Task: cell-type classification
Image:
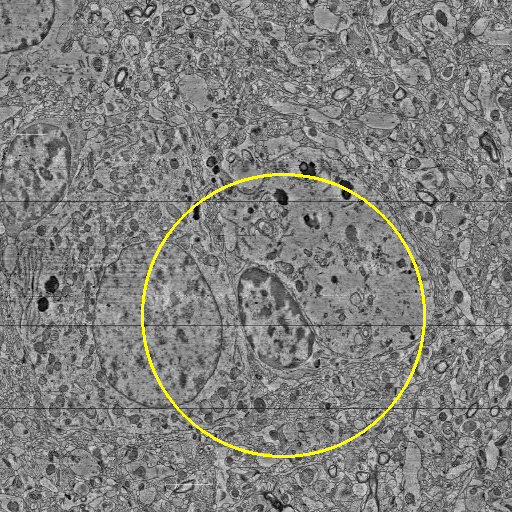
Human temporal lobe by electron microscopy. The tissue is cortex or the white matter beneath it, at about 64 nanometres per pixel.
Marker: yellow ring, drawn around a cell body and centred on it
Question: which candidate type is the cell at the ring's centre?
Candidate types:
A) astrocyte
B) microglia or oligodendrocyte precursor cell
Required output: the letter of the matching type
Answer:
B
